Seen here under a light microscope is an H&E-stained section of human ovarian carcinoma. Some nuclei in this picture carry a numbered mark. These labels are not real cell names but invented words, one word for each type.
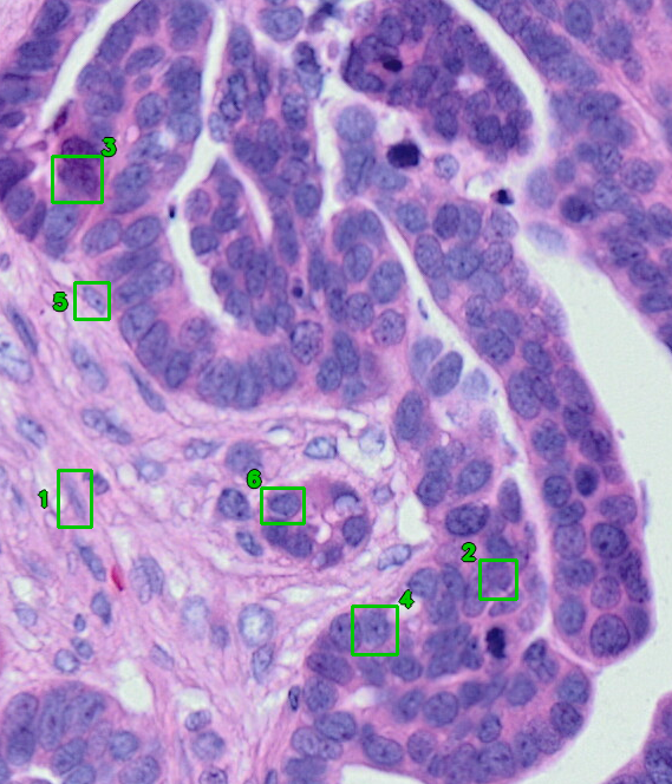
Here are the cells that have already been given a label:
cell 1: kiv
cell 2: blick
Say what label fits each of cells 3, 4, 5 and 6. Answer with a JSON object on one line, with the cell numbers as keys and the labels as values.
{"3": "blick", "4": "blick", "5": "kiv", "6": "blick"}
